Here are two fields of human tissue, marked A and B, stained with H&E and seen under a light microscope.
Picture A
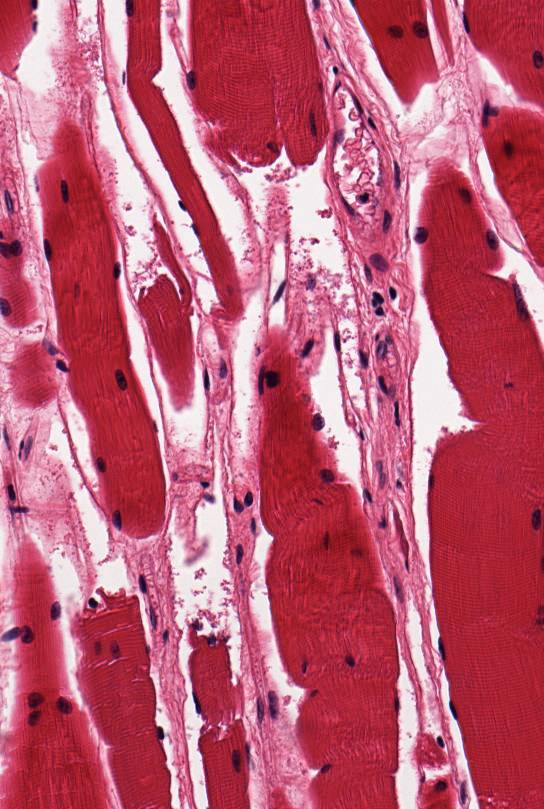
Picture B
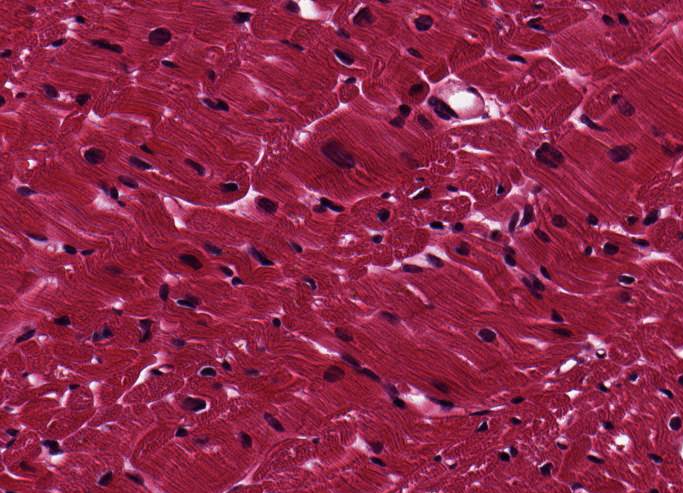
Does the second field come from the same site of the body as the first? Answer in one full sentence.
No, picture A comes from skeletal muscle and picture B comes from the left ventricle of the heart.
